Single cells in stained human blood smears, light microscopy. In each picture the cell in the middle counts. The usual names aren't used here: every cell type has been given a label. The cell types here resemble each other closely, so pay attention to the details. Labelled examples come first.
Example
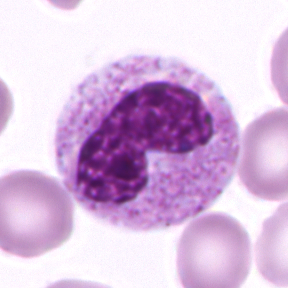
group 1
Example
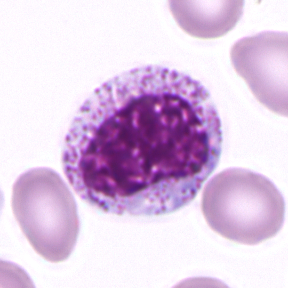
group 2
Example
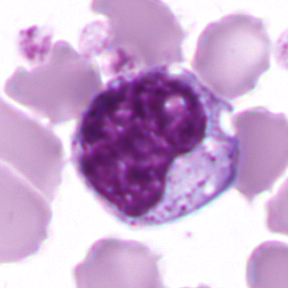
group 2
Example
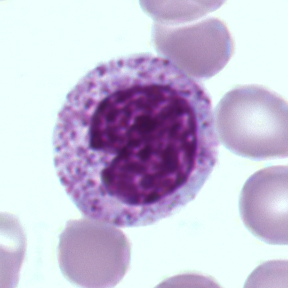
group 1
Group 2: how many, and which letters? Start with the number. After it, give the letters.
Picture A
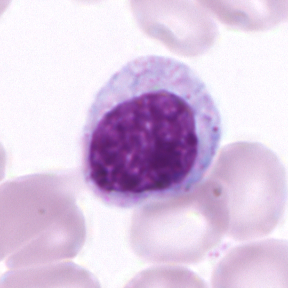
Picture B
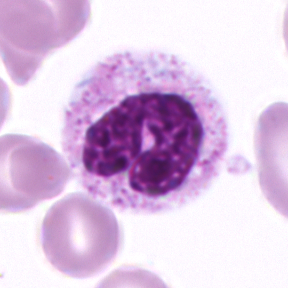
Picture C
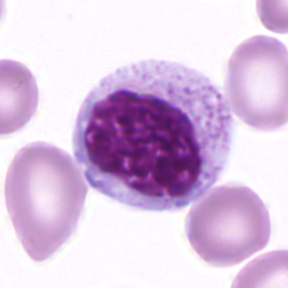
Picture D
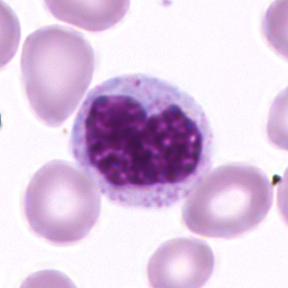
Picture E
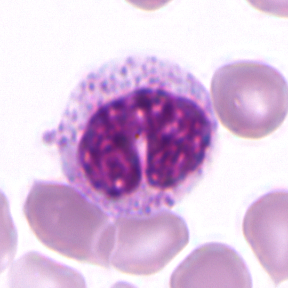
2: A, C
